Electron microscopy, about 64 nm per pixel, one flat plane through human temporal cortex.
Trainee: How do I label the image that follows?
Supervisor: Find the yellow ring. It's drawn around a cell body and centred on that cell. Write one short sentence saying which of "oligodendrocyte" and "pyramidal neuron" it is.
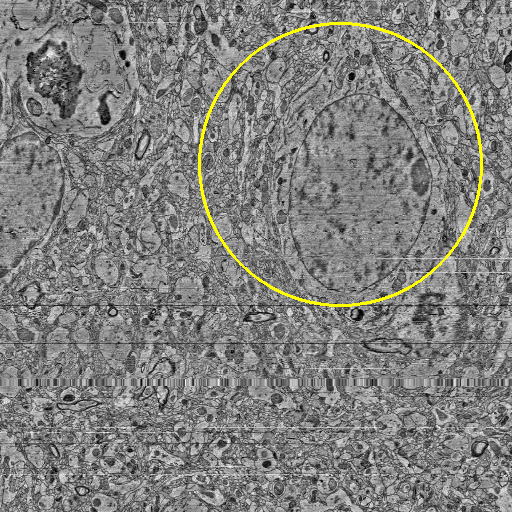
This is the cell body of a pyramidal neuron.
